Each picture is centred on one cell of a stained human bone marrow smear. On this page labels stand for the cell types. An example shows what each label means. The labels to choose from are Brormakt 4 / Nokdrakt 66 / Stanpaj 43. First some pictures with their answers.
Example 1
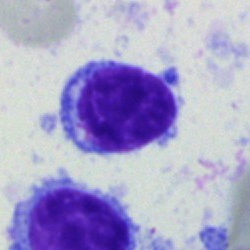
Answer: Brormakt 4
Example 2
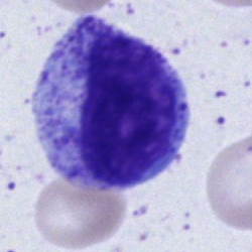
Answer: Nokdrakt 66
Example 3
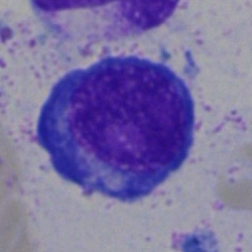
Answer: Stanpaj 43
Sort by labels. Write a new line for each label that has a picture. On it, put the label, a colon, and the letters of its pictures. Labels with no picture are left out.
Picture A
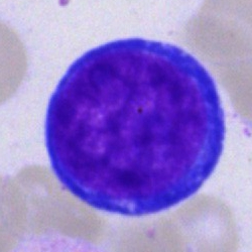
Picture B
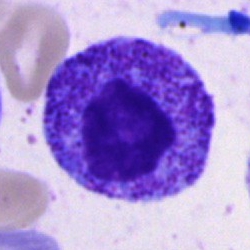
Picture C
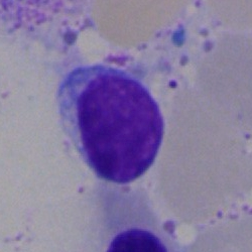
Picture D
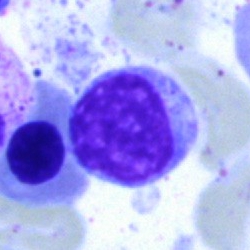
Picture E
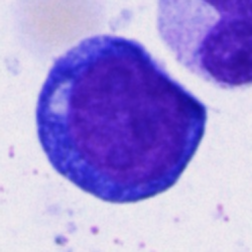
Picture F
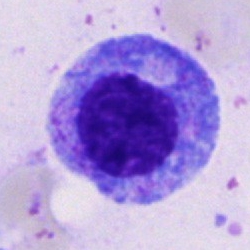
Brormakt 4: C, D
Nokdrakt 66: B, F
Stanpaj 43: A, E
